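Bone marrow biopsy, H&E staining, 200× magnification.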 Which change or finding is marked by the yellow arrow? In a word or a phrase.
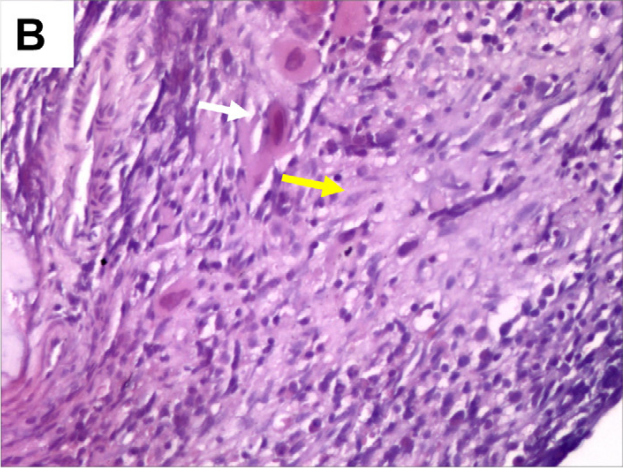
Collagen fibrosis.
